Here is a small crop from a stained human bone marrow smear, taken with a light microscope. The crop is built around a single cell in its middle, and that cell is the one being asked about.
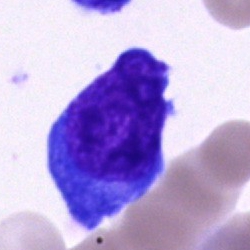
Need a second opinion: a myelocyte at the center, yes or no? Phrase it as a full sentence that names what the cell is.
No, instead of being a myelocyte, the middle cell is a blast.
